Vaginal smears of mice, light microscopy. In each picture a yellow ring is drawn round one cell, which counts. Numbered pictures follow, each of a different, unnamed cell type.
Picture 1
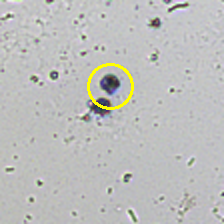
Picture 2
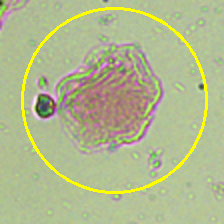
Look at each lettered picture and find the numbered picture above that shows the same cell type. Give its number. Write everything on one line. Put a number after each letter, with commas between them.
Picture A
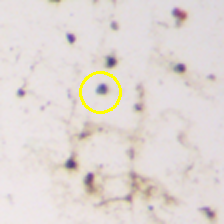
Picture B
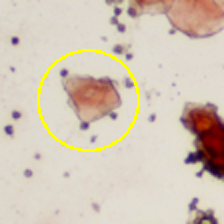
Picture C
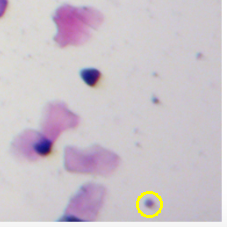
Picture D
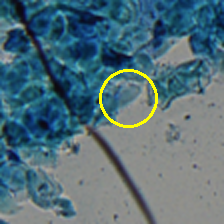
A 1, B 2, C 1, D 2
